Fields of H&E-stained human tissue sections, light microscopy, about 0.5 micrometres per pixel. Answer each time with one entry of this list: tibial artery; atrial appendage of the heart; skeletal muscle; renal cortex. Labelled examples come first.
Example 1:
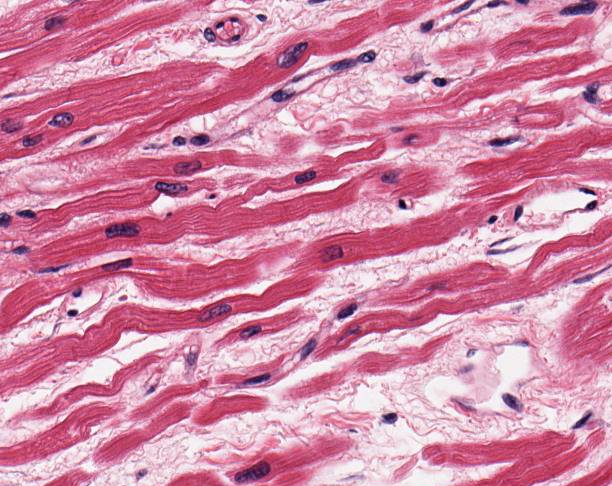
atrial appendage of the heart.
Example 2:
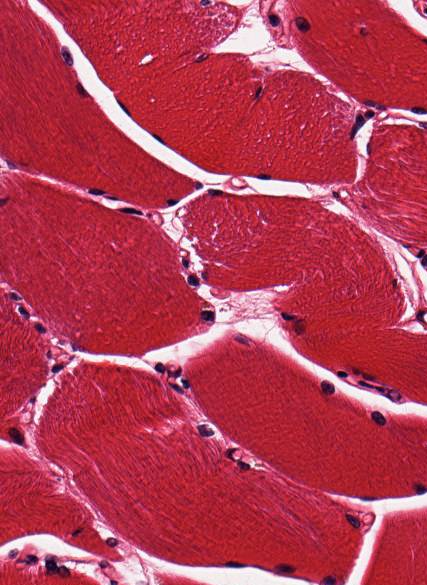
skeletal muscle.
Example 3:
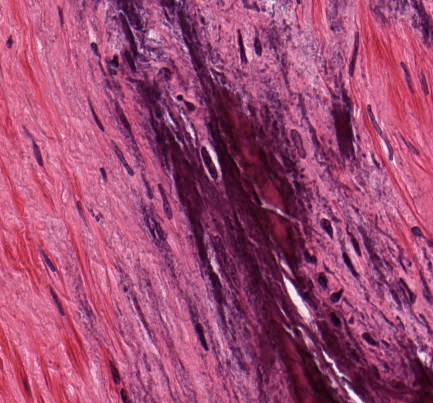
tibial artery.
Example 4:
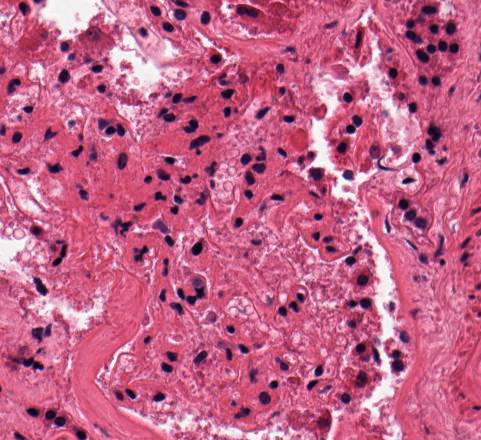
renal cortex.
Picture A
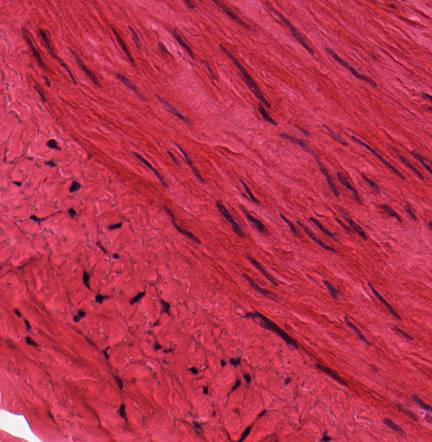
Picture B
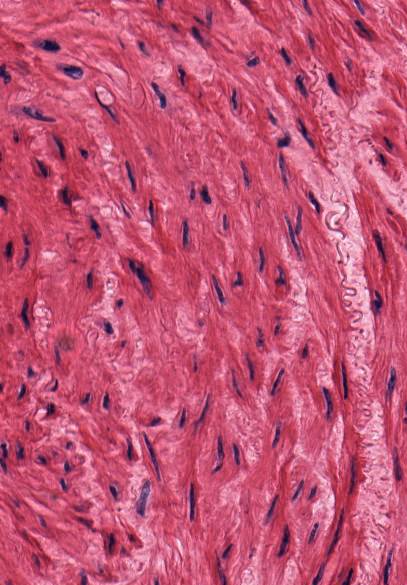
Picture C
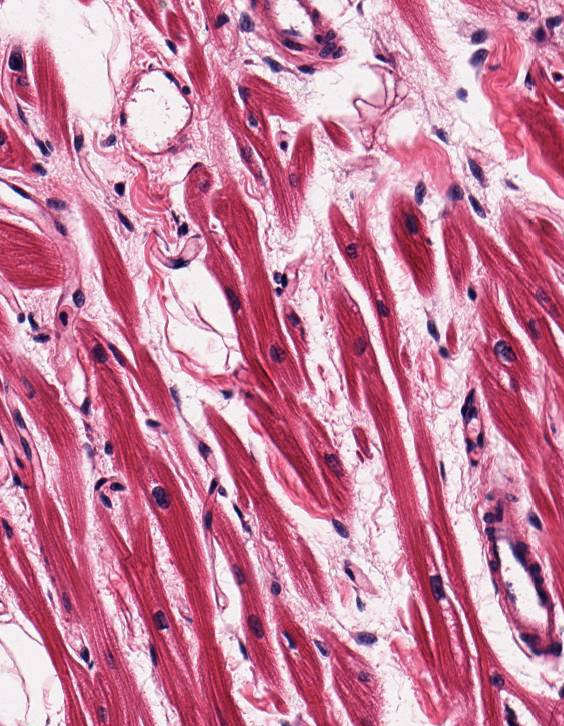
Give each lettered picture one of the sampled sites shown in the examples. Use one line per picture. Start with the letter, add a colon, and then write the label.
A: tibial artery.
B: tibial artery.
C: atrial appendage of the heart.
